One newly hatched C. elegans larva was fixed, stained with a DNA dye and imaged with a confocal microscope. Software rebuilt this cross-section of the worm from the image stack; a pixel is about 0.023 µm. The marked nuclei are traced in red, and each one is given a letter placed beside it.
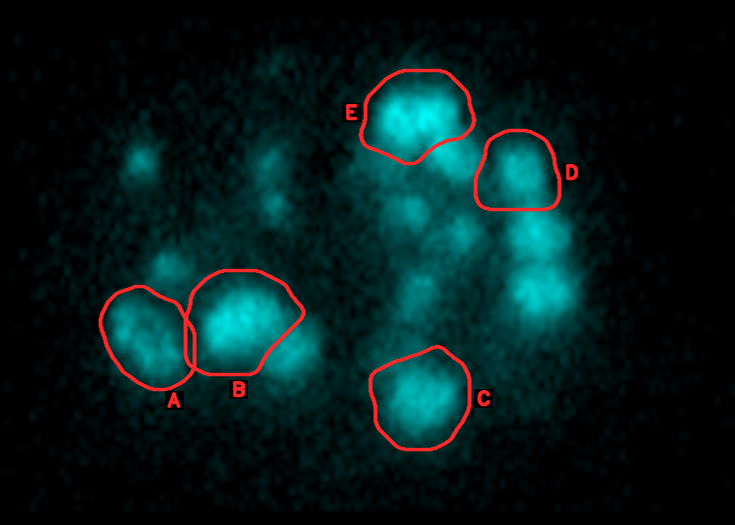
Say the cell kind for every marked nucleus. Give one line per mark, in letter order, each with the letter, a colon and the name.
A: body wall muscle cell
B: neuron
C: neuron
D: body wall muscle cell
E: neuron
